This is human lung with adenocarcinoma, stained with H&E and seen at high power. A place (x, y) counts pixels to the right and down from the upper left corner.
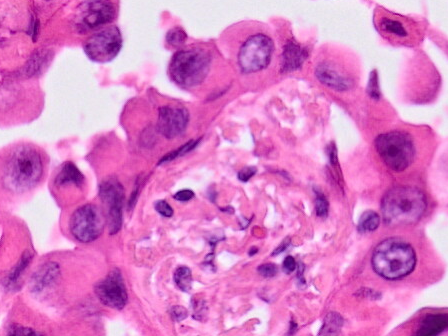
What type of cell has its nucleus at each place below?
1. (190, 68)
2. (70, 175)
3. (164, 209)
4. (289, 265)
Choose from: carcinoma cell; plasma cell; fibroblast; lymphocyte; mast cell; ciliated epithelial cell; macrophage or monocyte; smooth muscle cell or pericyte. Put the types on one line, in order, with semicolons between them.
carcinoma cell; carcinoma cell; lymphocyte; lymphocyte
